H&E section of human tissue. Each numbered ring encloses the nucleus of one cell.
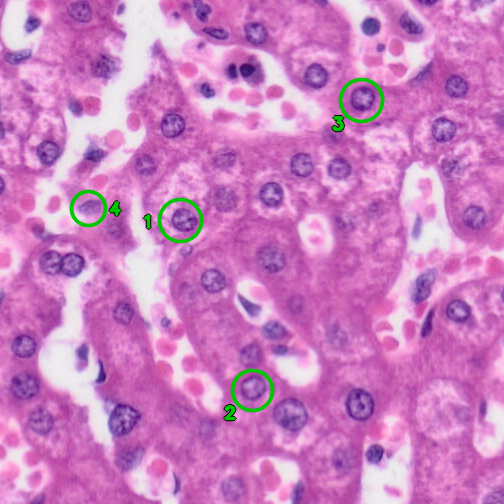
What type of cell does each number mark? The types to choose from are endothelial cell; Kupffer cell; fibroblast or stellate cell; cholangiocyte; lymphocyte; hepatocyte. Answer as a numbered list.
1. hepatocyte
2. hepatocyte
3. hepatocyte
4. Kupffer cell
